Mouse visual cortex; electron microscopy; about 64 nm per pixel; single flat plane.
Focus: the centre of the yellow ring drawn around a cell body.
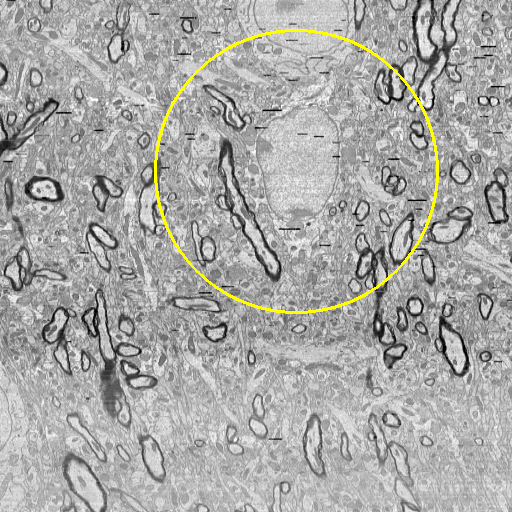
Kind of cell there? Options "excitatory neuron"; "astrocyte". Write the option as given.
astrocyte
